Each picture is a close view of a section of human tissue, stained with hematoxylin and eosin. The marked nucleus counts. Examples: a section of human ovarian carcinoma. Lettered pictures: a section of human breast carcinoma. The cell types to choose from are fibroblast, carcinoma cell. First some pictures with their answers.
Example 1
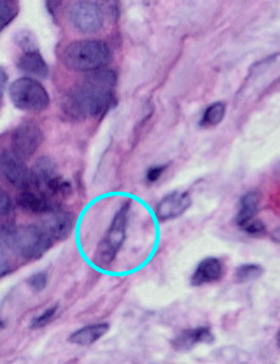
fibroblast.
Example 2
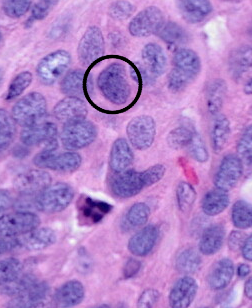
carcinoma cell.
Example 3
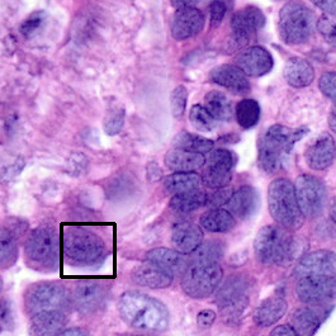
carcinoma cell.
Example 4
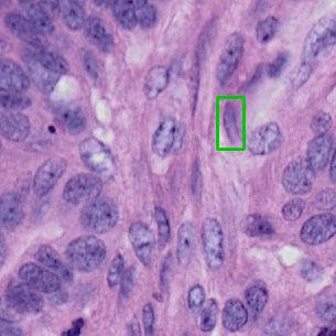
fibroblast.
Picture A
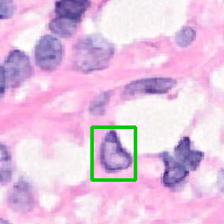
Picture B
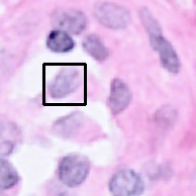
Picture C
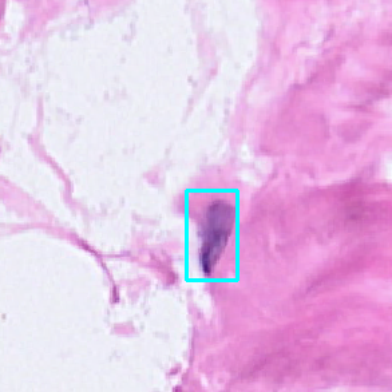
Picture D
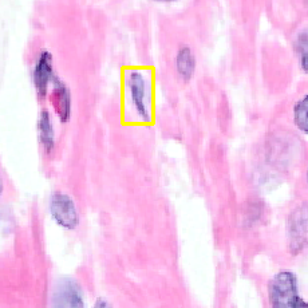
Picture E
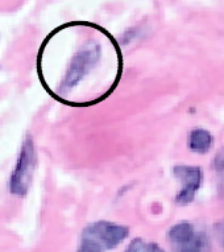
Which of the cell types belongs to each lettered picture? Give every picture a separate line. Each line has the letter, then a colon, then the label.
A: carcinoma cell.
B: carcinoma cell.
C: fibroblast.
D: fibroblast.
E: fibroblast.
